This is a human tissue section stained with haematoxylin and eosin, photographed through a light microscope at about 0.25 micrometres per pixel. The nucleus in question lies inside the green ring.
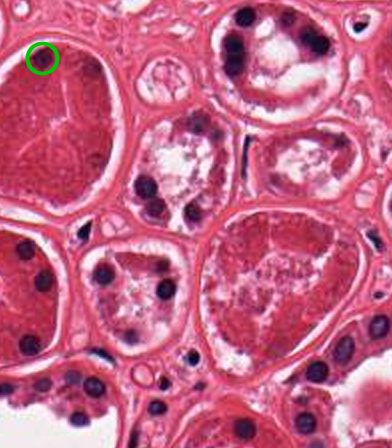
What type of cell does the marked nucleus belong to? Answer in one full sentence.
The nucleus that has been marked belongs to a proximal tubule cell.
